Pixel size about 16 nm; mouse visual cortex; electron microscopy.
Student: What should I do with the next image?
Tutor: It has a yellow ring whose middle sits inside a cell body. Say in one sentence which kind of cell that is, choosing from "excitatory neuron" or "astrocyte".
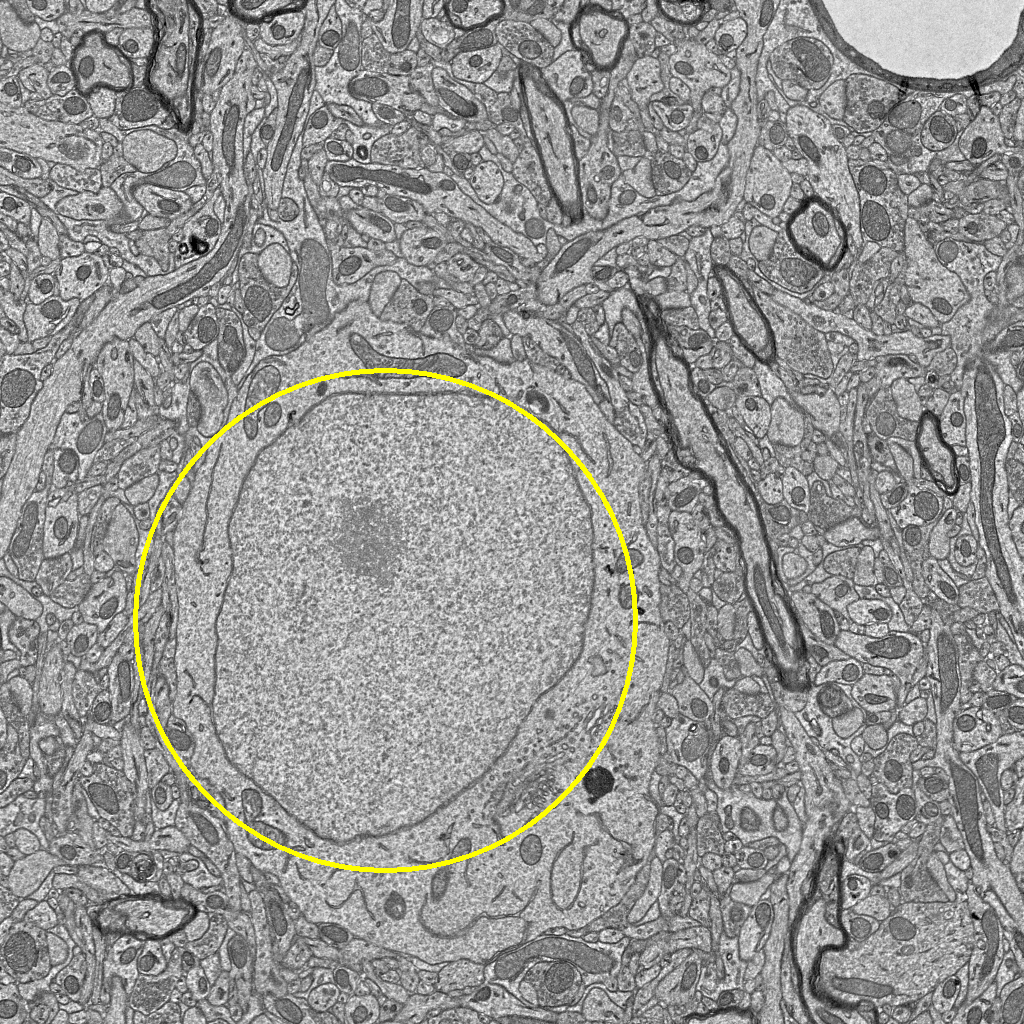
The ring's centre is occupied by an excitatory neuron.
